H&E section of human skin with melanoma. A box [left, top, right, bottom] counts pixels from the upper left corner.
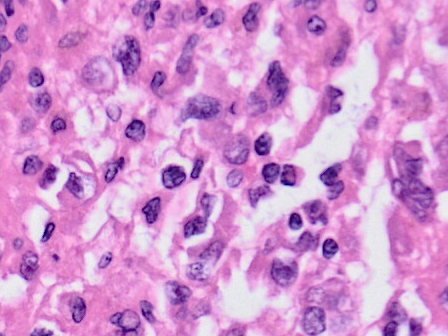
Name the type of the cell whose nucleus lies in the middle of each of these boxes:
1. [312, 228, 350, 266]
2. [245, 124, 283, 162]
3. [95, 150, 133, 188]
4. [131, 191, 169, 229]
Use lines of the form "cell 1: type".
cell 1: lymphocyte
cell 2: lymphocyte
cell 3: macrophage or monocyte
cell 4: macrophage or monocyte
